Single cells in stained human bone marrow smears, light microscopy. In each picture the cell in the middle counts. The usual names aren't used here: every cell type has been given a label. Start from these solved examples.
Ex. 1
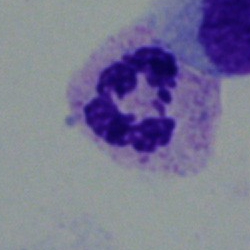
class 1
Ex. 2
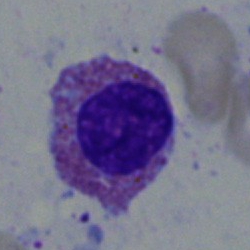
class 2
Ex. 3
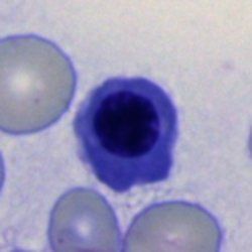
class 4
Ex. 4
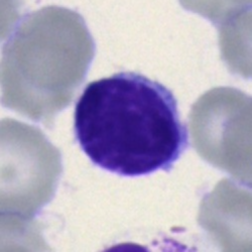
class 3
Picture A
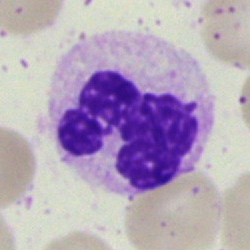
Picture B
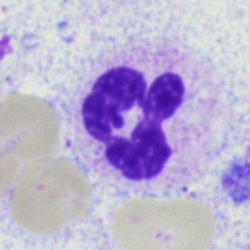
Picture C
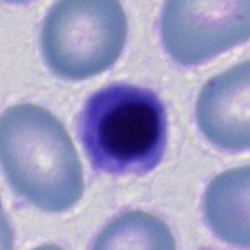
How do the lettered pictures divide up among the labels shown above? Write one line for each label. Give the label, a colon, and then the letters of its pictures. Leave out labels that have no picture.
class 1: A, B
class 4: C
